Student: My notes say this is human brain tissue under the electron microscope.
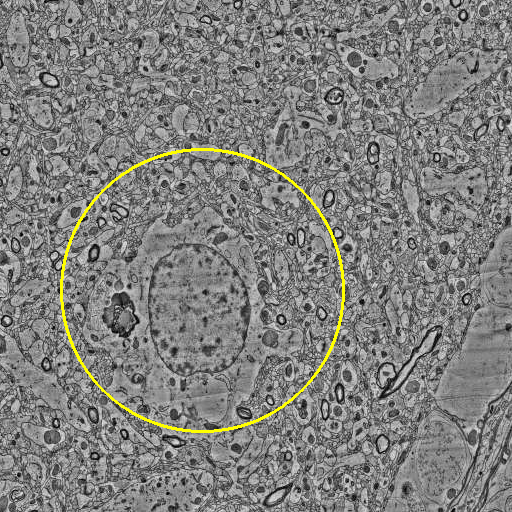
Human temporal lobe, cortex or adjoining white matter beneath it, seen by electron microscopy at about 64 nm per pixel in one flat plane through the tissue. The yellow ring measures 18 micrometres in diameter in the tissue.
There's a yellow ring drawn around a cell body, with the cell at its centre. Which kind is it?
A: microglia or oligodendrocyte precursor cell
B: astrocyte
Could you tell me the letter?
B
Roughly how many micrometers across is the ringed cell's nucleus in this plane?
In this plane the nucleus spans approximately 8 by 7 micrometers.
